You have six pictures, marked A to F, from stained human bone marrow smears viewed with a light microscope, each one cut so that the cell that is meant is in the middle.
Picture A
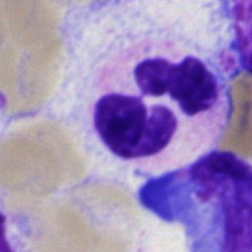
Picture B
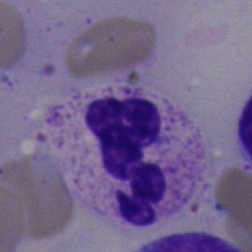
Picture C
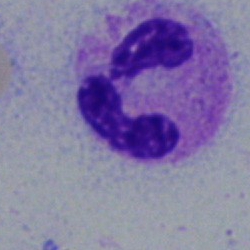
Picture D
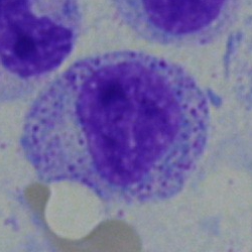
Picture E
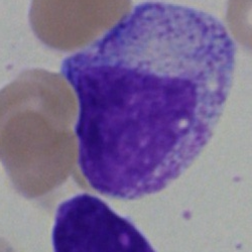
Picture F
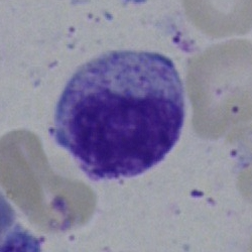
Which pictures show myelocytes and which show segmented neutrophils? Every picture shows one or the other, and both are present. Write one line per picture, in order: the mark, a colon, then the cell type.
A: segmented neutrophil
B: segmented neutrophil
C: segmented neutrophil
D: myelocyte
E: myelocyte
F: myelocyte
